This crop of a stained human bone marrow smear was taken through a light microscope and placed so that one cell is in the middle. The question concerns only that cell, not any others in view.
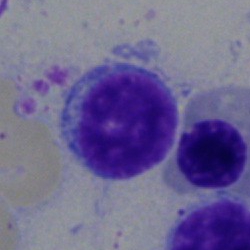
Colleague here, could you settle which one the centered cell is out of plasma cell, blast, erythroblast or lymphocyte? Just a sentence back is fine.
The cell in the middle of the field of view is a lymphocyte.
